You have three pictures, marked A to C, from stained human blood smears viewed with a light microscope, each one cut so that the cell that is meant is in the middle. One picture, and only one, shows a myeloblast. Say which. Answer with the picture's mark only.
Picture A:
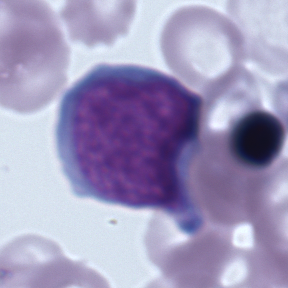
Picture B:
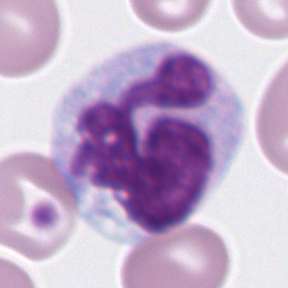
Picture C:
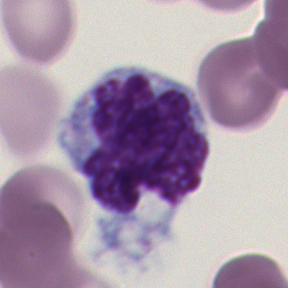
A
